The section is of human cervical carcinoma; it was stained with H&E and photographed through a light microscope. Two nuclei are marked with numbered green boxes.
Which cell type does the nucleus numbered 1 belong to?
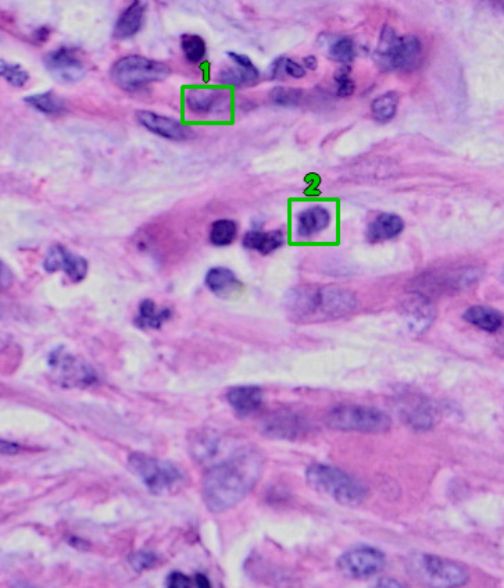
endothelial cell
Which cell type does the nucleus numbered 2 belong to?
lymphocyte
